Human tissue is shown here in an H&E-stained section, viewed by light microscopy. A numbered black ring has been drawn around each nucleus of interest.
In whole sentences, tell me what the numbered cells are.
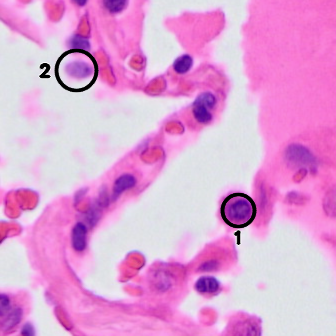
Cell 1 is a macrophage or monocyte. Cell 2 is a type I pneumocyte.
